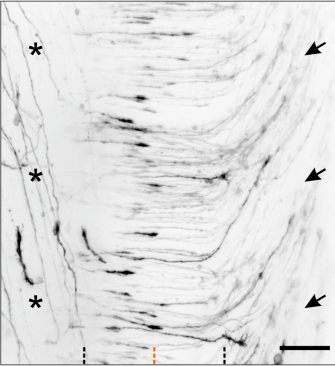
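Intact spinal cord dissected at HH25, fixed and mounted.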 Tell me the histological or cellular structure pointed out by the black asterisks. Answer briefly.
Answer: ipsilateral ventral funiculus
